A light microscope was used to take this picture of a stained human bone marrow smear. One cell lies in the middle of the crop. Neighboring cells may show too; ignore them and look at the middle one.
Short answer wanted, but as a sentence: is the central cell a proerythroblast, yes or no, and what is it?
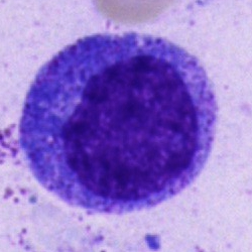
No, a promyelocyte rather than a proerythroblast is the cell at the centre of the crop.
